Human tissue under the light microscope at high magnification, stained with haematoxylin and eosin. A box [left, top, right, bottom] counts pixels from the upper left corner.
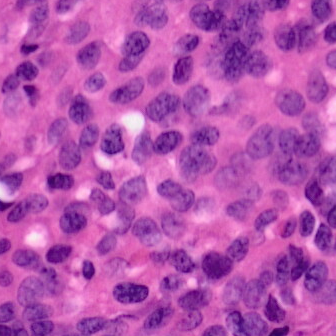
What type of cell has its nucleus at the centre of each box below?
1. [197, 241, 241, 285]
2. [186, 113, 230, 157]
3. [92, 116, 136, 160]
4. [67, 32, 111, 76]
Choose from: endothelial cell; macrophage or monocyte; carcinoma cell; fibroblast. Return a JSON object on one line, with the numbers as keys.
{"1": "carcinoma cell", "2": "carcinoma cell", "3": "macrophage or monocyte", "4": "carcinoma cell"}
